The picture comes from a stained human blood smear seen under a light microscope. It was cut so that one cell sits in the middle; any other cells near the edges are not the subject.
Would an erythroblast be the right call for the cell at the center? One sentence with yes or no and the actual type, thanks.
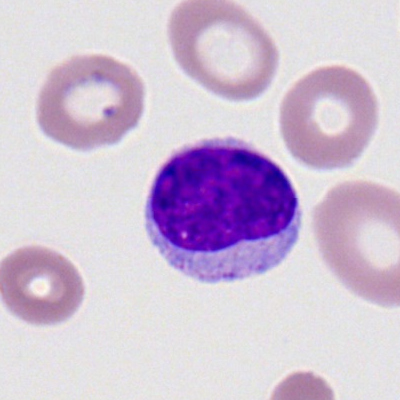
No, the cell found centrally in the crop is a lymphocyte, not an erythroblast.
